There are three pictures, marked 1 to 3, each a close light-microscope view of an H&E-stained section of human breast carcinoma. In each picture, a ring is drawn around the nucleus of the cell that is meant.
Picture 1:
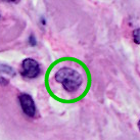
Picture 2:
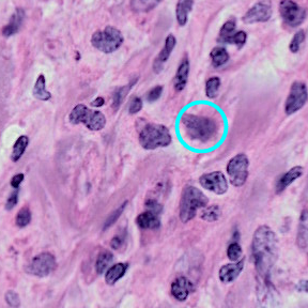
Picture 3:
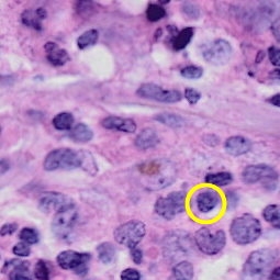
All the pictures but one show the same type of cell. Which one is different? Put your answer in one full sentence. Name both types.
The different one is picture 3; it shows a lymphocyte, whereas all the others show “macrophages, monocytes or dendritic cells”.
